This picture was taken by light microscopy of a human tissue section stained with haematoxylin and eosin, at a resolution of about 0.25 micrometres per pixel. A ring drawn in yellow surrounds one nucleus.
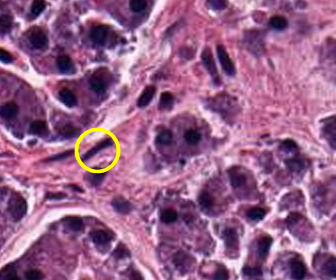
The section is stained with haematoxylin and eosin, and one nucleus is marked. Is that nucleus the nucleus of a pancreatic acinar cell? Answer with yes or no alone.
no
